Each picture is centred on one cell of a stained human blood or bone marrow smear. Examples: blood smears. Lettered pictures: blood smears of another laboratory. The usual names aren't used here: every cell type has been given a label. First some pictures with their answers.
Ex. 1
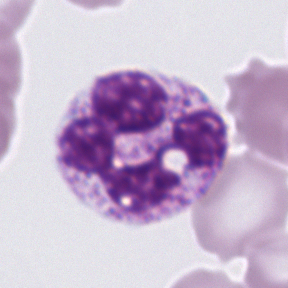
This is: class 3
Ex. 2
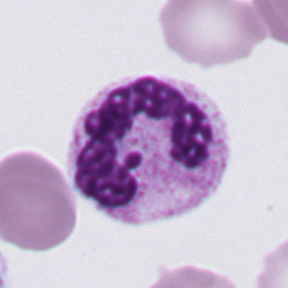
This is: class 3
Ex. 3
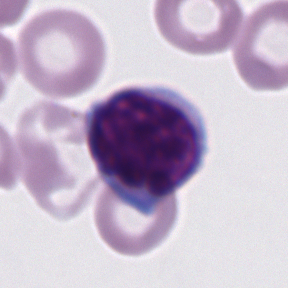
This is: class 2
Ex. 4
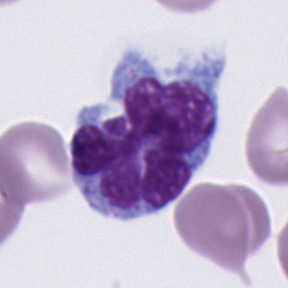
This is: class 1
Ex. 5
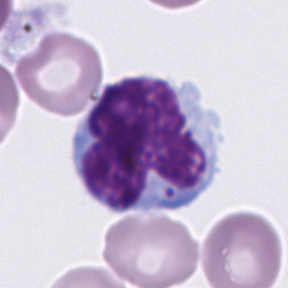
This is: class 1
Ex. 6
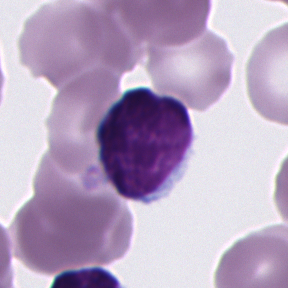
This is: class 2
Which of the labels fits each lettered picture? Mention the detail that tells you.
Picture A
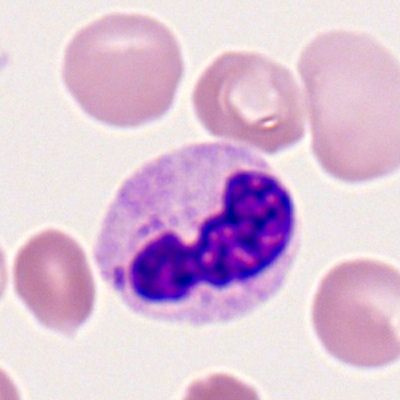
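class 3. The nucleus is one curved, sausage-like mass, not split into separate lobes.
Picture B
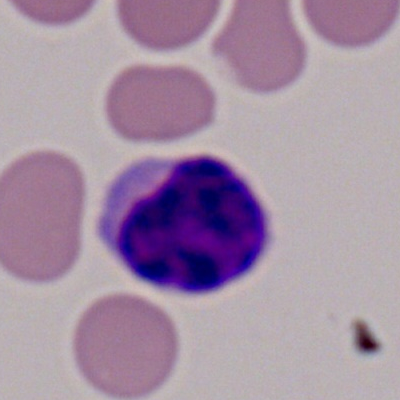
class 2. The nucleus fills most of the cell.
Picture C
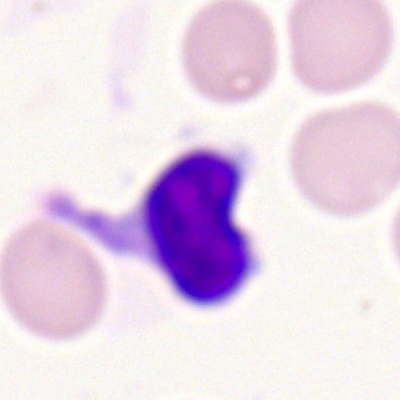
class 2. The nucleus is kidney-shaped with a notch on its right side.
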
